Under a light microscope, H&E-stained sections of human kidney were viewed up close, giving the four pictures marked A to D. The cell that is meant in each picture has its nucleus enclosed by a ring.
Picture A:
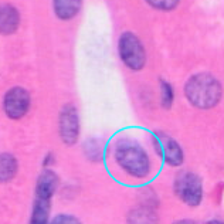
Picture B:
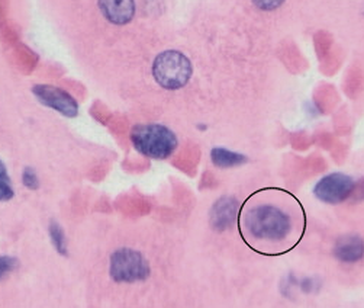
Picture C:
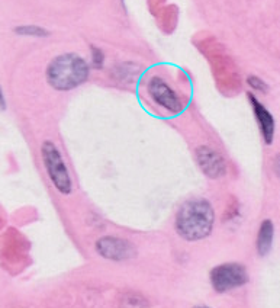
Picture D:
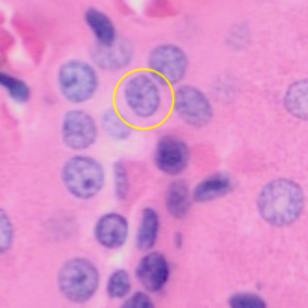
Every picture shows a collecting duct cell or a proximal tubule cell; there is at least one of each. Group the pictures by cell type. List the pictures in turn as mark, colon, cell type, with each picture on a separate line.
A: collecting duct cell
B: proximal tubule cell
C: collecting duct cell
D: collecting duct cell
